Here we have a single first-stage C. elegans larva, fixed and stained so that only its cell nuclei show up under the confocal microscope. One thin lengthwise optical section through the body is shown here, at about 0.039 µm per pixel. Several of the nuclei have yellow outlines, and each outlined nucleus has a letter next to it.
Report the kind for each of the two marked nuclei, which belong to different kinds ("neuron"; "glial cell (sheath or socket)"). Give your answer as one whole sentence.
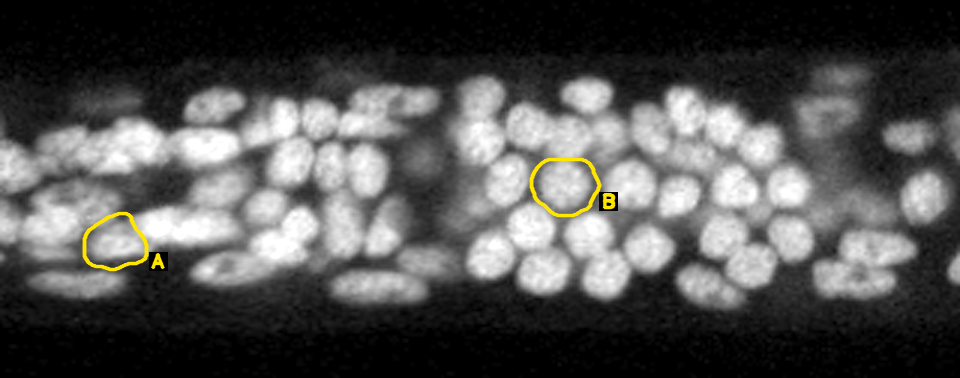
One is from a glial cell (sheath or socket), namely A, and the other, B, is from a neuron.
